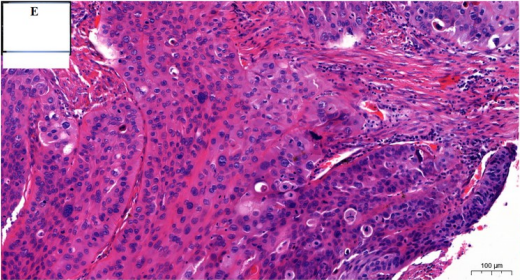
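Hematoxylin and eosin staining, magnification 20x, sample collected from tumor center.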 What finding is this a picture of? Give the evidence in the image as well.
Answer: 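Sheets of large polygonal cells with abundant pink cytoplasm and distinct borders. Nuclei are enlarged and vary in size and darkness. Bands of fibrous stroma with spindle-shaped cells run between the sheets.
Squamous cell carcinoma.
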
